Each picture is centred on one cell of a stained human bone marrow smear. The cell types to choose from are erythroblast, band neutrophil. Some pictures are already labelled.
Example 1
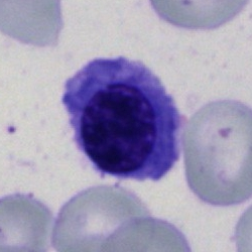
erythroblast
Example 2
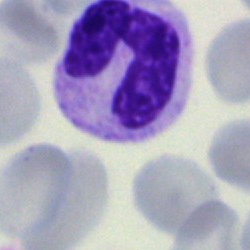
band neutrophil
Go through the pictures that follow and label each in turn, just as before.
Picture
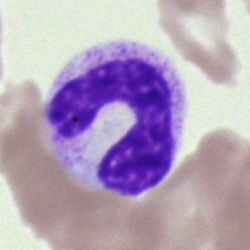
band neutrophil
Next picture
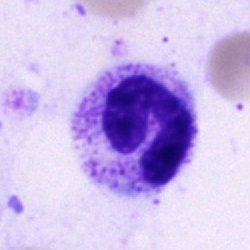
band neutrophil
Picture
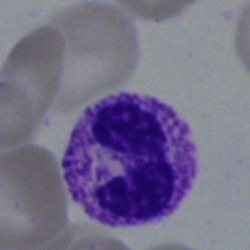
band neutrophil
